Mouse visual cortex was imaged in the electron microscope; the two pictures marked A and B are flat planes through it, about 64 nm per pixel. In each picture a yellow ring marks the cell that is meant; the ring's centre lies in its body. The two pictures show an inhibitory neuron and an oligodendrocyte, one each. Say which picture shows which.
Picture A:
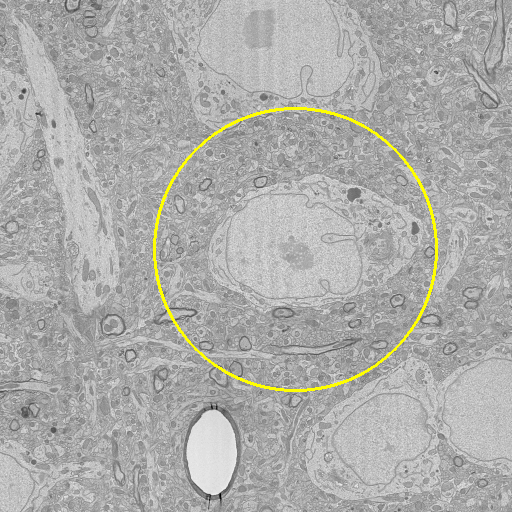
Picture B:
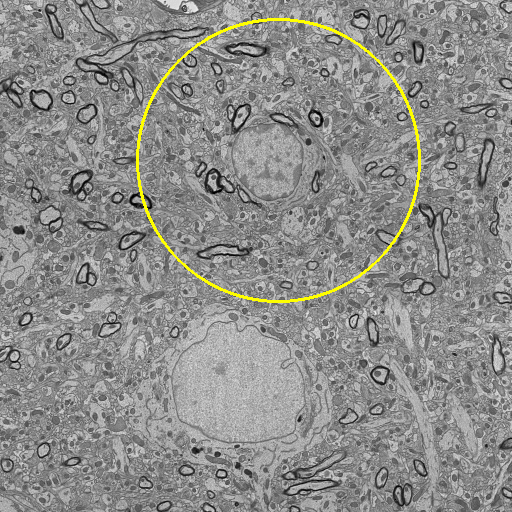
Picture B shows an oligodendrocyte, while picture A shows an inhibitory neuron.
